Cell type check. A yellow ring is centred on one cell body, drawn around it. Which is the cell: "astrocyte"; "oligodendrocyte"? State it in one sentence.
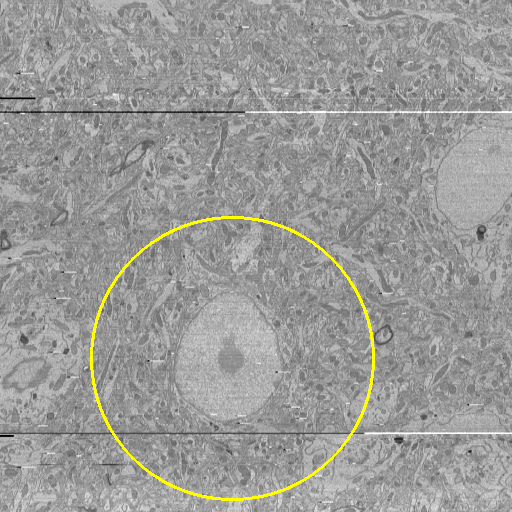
The cell body at the ring's centre belongs to an astrocyte.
